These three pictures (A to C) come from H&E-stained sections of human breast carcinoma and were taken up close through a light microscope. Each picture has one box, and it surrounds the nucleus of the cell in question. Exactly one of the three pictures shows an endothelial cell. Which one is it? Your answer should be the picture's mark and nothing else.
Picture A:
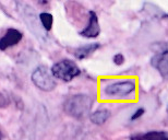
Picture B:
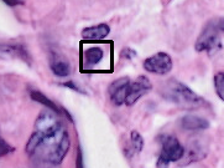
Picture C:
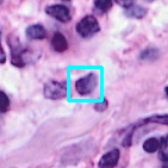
A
